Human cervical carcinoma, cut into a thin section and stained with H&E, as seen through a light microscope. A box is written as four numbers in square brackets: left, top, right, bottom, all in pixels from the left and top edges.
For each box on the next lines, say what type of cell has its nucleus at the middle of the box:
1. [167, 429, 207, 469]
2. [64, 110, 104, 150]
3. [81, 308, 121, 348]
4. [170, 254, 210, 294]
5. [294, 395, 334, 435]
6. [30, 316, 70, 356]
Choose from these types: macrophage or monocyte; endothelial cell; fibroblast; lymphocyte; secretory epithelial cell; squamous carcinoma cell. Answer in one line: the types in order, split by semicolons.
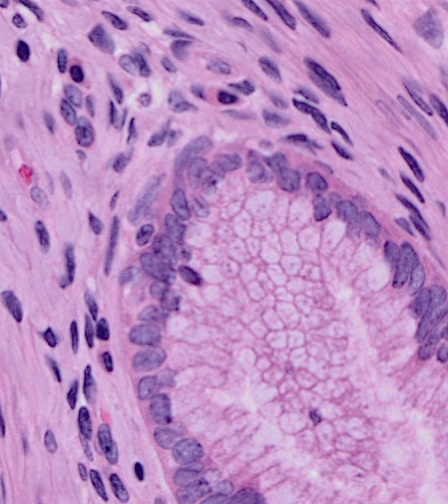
secretory epithelial cell; endothelial cell; lymphocyte; secretory epithelial cell; secretory epithelial cell; fibroblast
